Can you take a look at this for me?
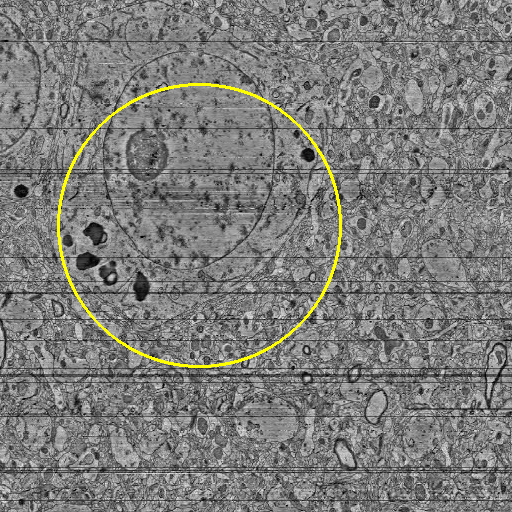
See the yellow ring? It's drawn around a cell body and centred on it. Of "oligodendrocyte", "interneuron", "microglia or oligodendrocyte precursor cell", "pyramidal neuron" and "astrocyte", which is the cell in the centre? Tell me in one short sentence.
The one in the centre is a pyramidal neuron.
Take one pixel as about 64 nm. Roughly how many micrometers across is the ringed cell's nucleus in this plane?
Approximately 14 by 11 micrometers in this plane.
